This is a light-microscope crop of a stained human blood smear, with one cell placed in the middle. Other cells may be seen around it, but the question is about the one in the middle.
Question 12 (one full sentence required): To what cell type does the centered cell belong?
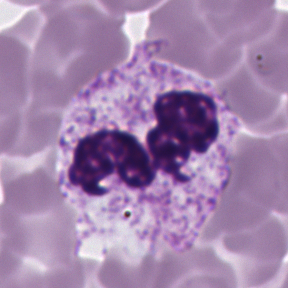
The cell featured at the centre of this crop is a segmented neutrophil.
